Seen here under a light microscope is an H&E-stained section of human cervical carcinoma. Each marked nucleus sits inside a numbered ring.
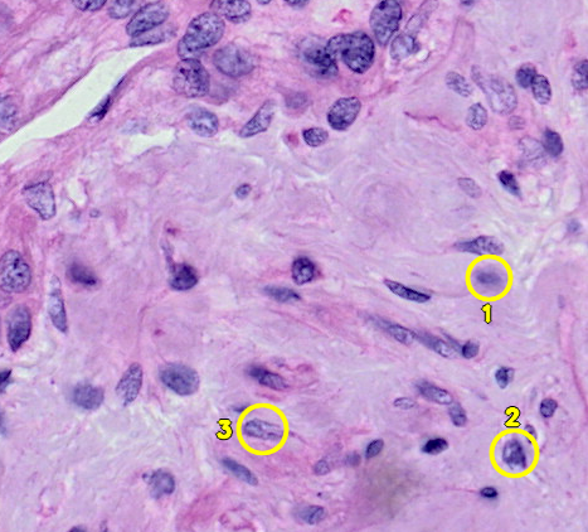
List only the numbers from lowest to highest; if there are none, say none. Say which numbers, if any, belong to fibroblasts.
1, 2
